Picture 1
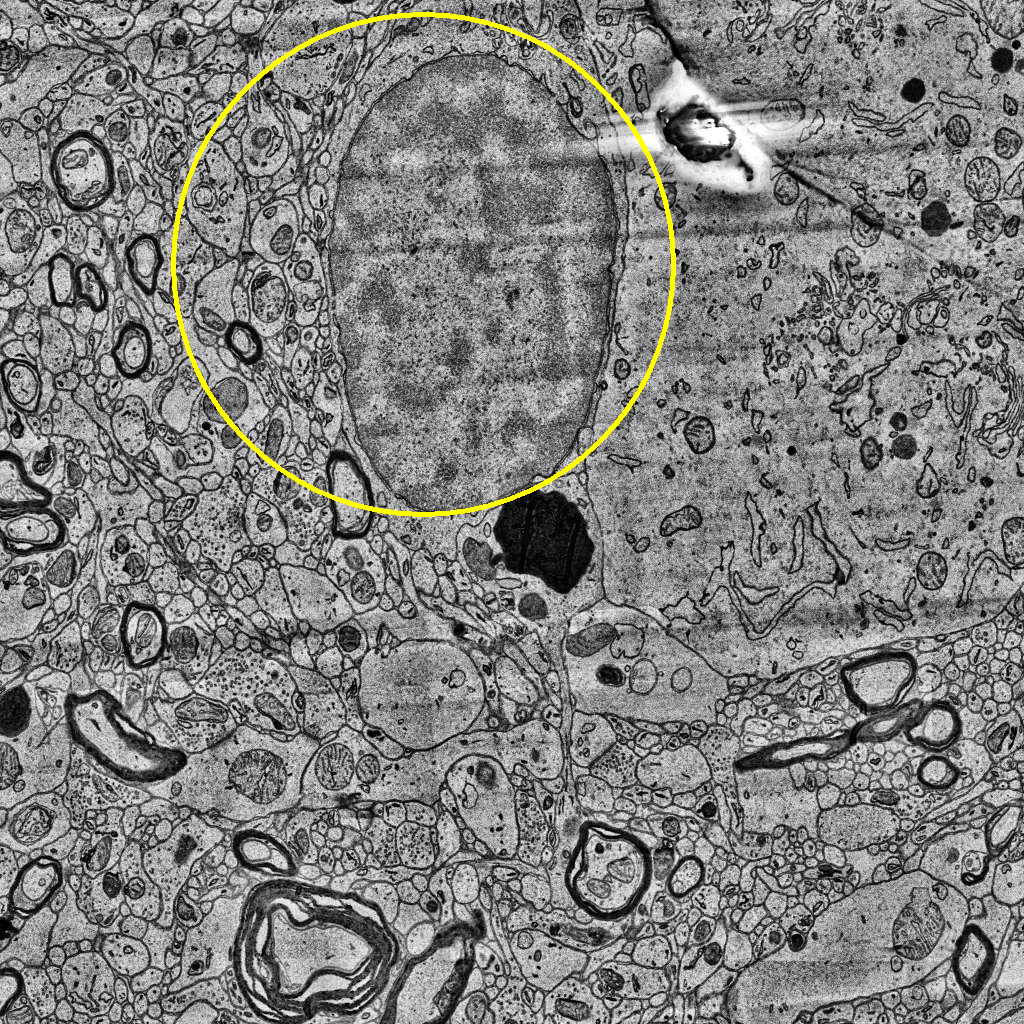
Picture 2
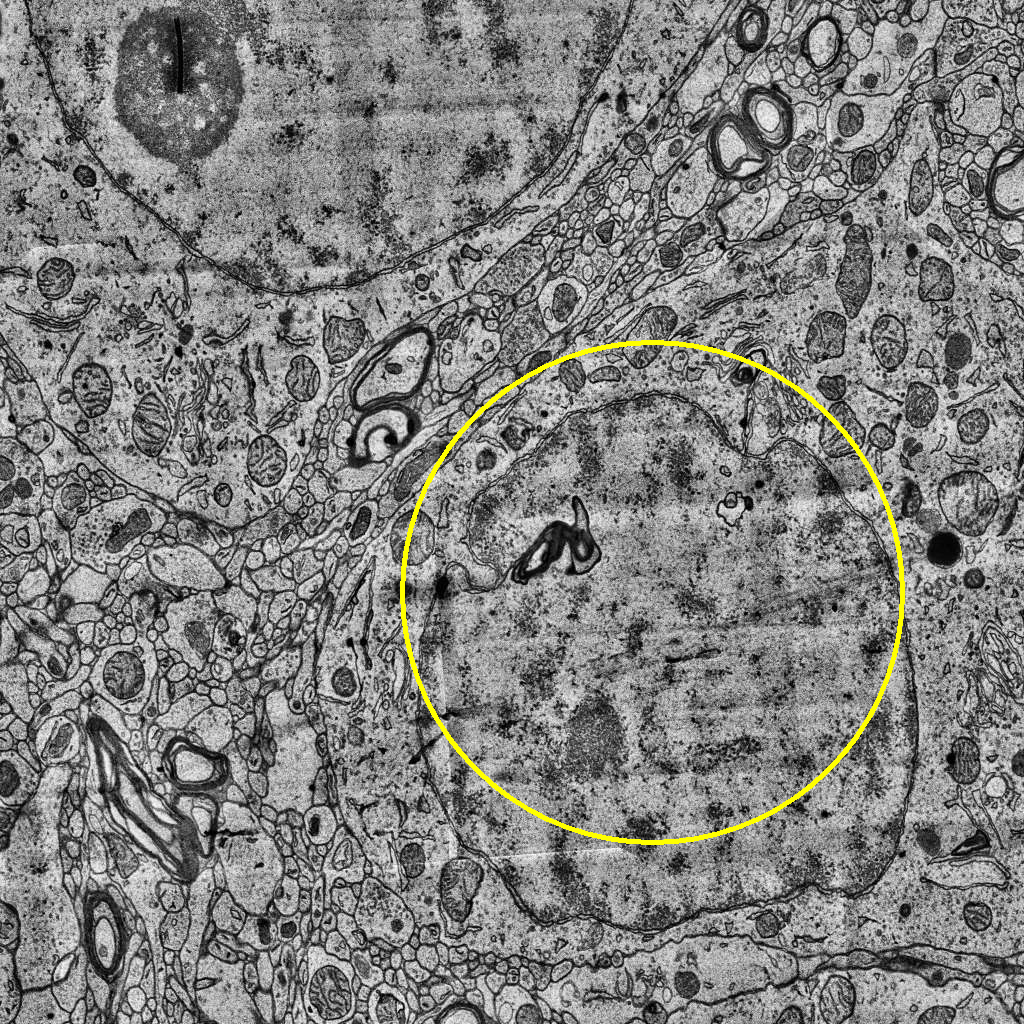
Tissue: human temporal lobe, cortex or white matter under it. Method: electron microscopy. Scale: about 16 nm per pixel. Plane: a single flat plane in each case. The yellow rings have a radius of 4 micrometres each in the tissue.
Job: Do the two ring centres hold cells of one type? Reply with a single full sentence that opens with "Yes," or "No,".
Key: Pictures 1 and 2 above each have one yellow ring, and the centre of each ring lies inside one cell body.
No, the cells at the two ring centres are of two separate types.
